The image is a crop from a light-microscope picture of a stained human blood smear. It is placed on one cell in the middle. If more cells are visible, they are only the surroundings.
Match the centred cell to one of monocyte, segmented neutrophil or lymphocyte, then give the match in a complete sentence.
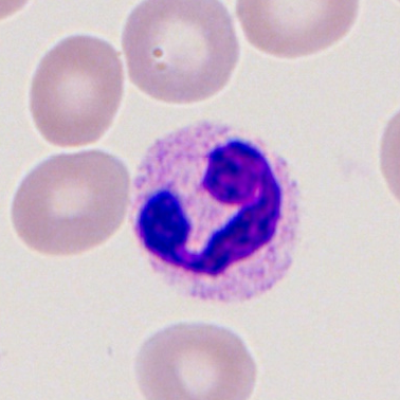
At the center of the crop sits a segmented neutrophil.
